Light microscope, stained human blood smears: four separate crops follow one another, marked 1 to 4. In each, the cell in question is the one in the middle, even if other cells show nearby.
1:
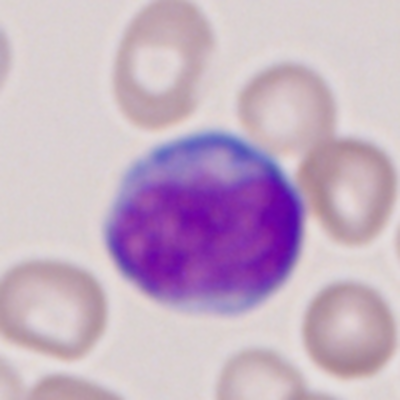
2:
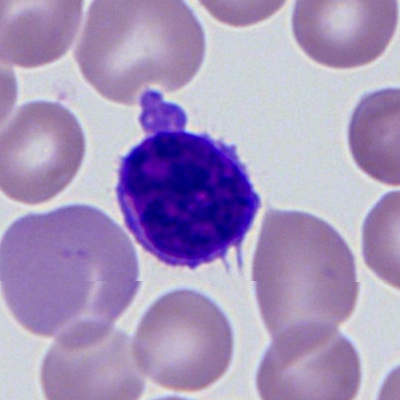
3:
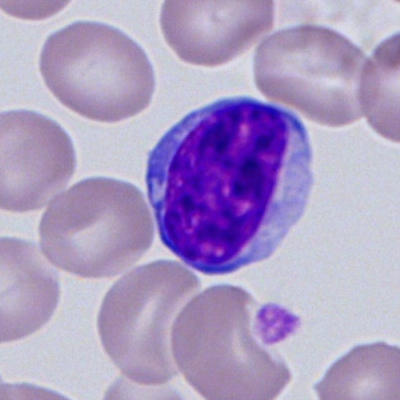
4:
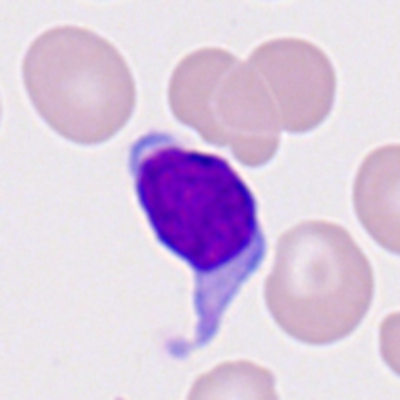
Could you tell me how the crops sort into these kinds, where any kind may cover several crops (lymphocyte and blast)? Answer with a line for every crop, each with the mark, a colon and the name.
1: blast
2: lymphocyte
3: lymphocyte
4: lymphocyte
